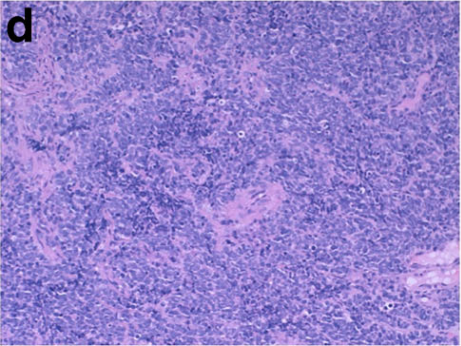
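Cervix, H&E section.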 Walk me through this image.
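A solid tumour made of densely packed small cells fills the field, arranged in sheets and vague nests. The nuclei are dark purple, round to oval and fairly uniform in size, with only scant cytoplasm around each. Thin pink strands of fibrovascular stroma with small vessels cross between the cell sheets. No glands or normal cervical epithelium are seen.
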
